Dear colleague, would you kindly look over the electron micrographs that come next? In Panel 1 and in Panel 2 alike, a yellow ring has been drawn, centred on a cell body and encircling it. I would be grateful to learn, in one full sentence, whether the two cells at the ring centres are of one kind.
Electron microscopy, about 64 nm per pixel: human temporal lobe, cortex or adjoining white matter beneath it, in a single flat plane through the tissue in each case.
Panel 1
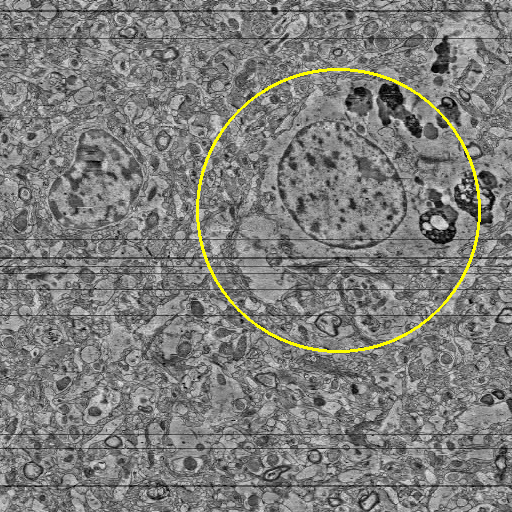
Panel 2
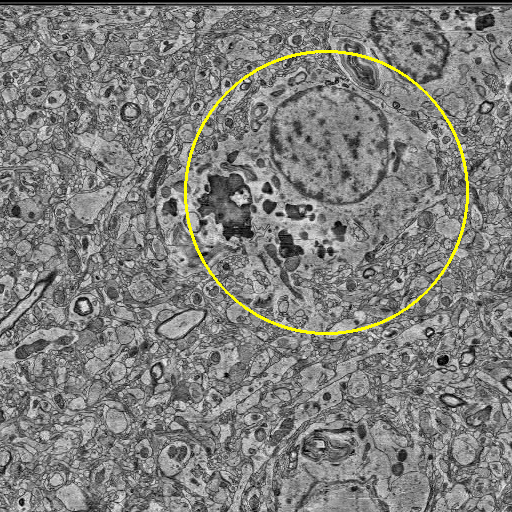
Yes, the cells in the middle of the rings in the two panels are of one kind.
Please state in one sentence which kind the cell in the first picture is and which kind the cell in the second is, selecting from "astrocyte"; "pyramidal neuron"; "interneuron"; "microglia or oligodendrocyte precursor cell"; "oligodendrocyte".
The cell at the ring centre is an astrocyte in both pictures.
